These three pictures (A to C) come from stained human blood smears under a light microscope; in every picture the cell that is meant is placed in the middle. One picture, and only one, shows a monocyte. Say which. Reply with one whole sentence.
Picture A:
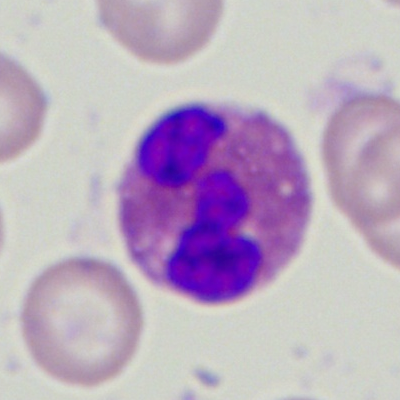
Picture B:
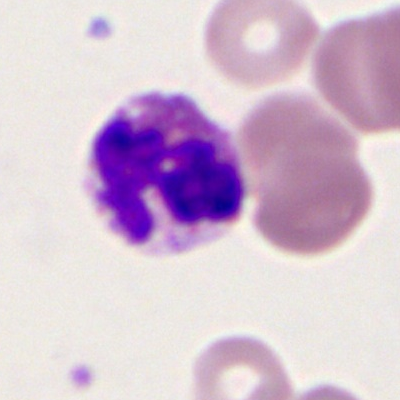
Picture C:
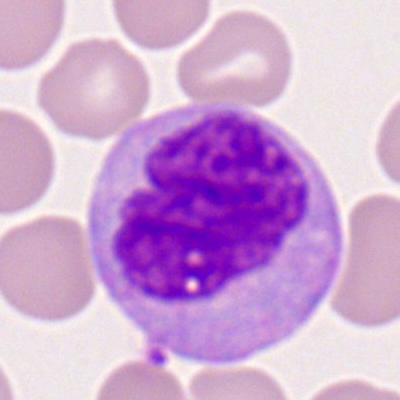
It is picture C that shows the monocyte.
